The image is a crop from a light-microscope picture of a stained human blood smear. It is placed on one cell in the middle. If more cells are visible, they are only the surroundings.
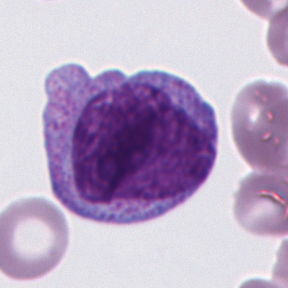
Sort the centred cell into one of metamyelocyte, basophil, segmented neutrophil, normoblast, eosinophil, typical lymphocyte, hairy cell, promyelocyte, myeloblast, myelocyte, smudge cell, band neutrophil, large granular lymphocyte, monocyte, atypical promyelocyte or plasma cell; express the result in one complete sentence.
Classified as an atypical promyelocyte is the cell in the middle of this crop.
